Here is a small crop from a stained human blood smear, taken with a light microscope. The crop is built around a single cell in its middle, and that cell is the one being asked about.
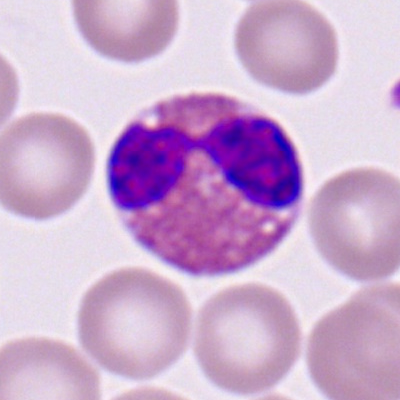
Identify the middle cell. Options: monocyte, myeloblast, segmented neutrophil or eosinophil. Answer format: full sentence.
The cell shown in the center of this light-microscope crop is an eosinophil.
